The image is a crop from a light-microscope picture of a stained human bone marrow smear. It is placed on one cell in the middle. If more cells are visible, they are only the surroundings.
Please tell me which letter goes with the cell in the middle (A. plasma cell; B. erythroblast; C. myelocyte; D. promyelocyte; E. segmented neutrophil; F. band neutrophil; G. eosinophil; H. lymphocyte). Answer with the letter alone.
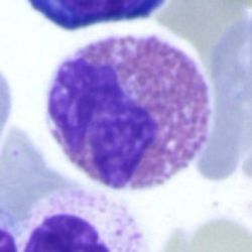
G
